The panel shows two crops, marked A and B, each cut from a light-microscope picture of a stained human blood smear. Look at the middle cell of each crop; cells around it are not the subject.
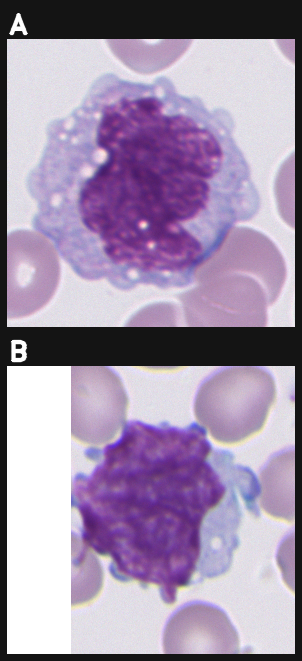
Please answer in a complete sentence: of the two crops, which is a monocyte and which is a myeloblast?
Crop A is a monocyte and crop B is a myeloblast.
